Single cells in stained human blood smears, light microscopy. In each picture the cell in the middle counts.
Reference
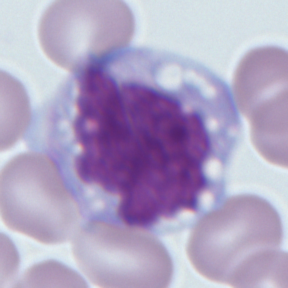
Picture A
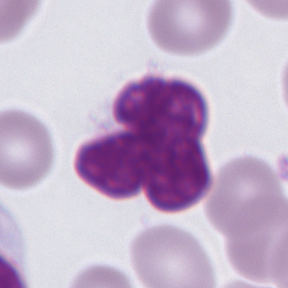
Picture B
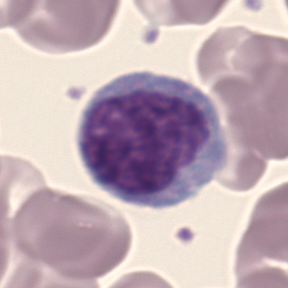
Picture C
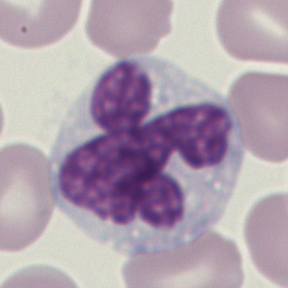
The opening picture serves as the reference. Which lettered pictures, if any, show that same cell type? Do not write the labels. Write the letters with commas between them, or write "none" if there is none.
B, C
